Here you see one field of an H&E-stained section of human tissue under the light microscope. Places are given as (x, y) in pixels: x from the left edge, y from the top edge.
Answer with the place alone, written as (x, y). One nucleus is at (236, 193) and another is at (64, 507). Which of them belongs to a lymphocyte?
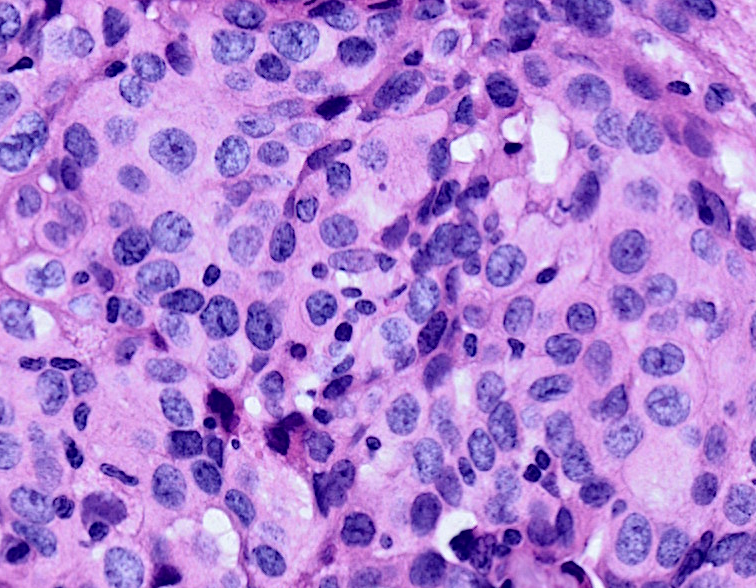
(64, 507)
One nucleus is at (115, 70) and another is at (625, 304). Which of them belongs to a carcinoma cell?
(625, 304)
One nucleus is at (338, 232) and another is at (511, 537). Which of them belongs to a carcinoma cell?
(338, 232)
